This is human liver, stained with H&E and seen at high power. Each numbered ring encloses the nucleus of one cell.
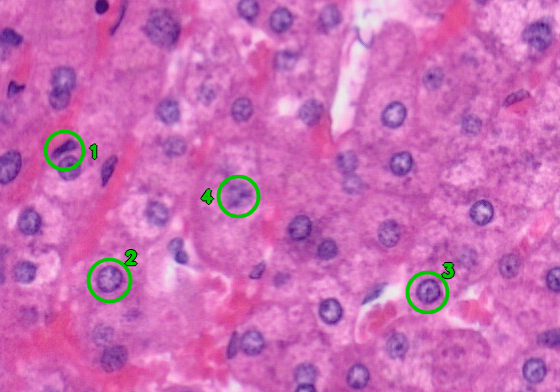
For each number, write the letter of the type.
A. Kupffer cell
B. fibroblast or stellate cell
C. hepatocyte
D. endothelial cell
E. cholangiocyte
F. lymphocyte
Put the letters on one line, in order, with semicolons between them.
B; C; C; C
